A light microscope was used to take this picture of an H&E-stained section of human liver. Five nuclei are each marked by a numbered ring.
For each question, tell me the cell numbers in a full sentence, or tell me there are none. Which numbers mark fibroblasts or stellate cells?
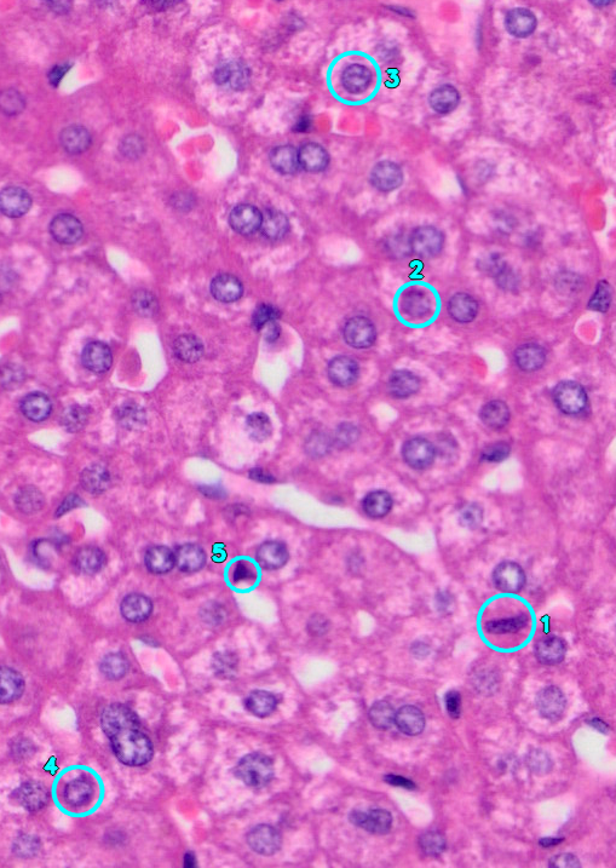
Within the section, cells numbered 1 and 5 are fibroblasts or stellate cells.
